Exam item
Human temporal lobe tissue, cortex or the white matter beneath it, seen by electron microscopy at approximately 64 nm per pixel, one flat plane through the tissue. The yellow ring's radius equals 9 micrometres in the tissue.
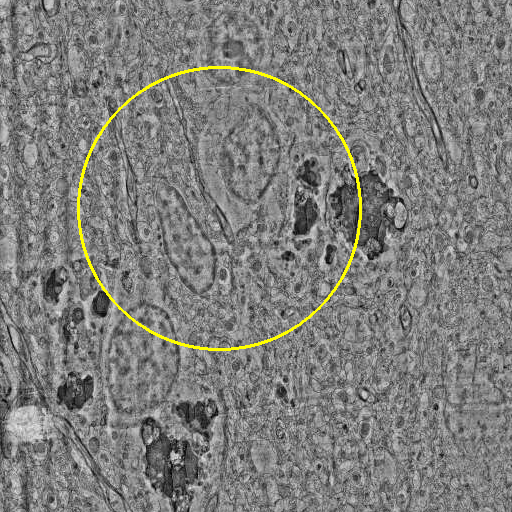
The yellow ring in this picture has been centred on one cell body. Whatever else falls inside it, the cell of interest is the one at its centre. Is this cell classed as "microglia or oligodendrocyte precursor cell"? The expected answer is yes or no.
yes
